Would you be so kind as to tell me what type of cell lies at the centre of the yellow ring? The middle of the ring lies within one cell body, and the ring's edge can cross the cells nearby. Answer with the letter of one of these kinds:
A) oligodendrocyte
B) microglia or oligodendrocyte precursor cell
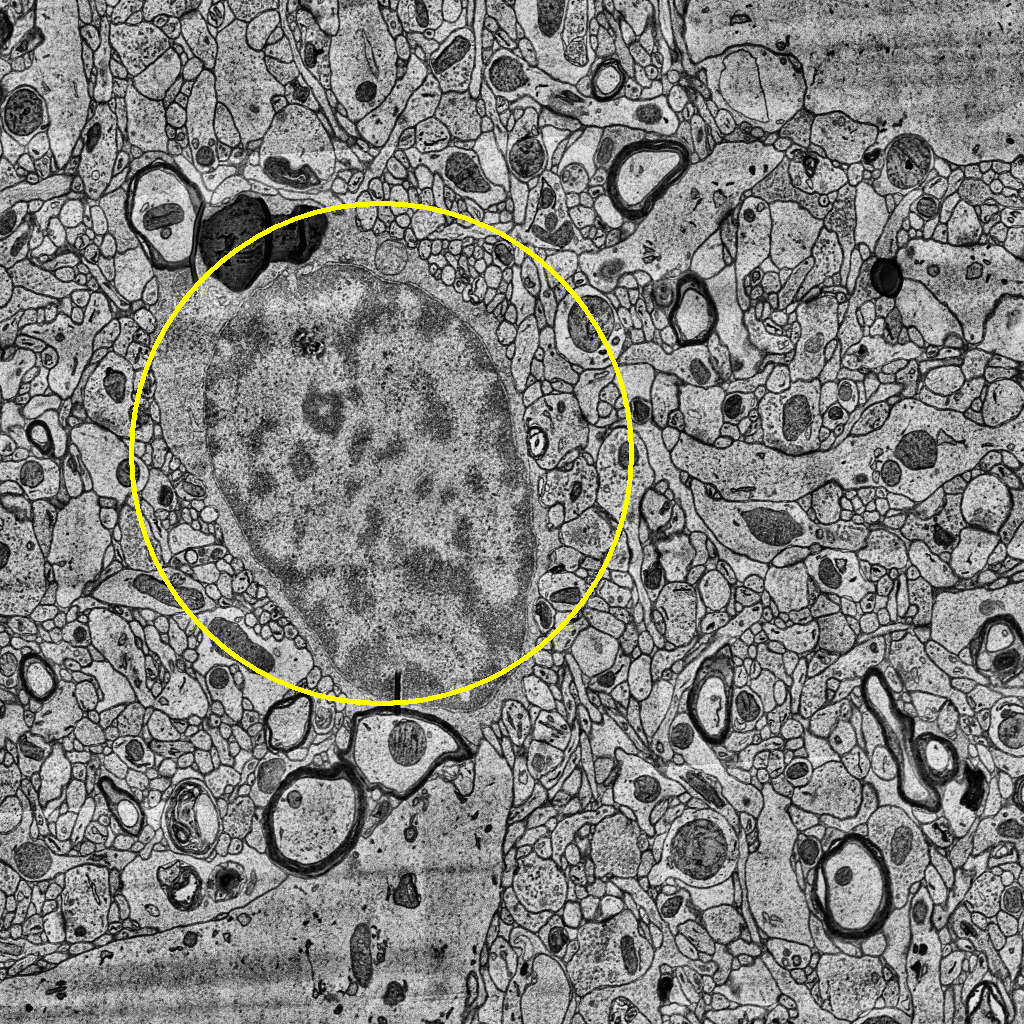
A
